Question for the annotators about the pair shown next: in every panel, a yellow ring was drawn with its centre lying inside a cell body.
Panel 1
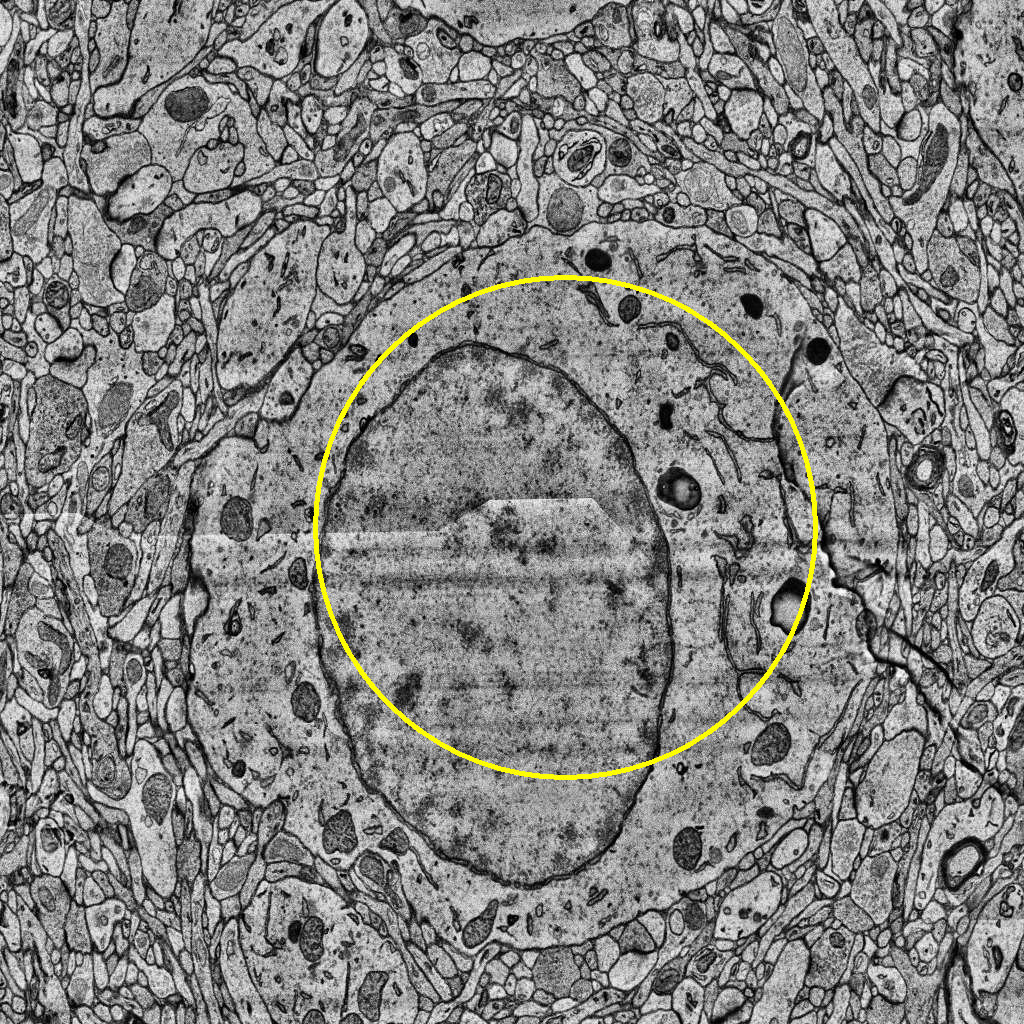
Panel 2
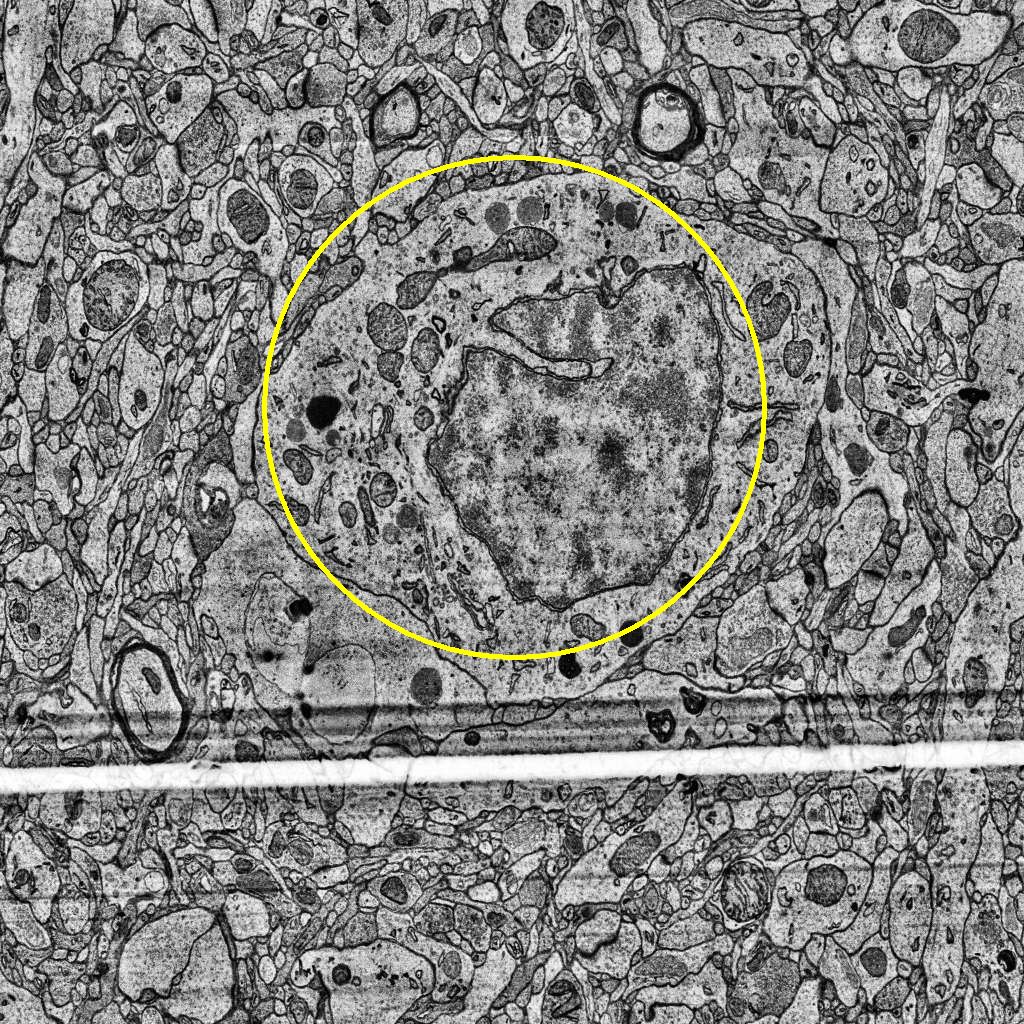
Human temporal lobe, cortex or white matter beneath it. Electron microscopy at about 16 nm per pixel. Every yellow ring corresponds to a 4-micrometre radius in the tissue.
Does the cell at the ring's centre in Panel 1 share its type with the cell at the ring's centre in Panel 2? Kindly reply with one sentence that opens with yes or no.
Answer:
No, in Panels 1 and 2 the cells at the ring centres belong to separate types.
